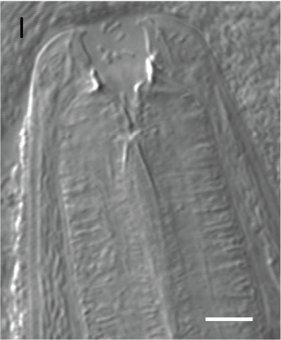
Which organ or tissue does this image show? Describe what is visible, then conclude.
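A rounded anterior end of a worm fills the panel. The lumen continues back into a striated tube. That points to this answer: mouth.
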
